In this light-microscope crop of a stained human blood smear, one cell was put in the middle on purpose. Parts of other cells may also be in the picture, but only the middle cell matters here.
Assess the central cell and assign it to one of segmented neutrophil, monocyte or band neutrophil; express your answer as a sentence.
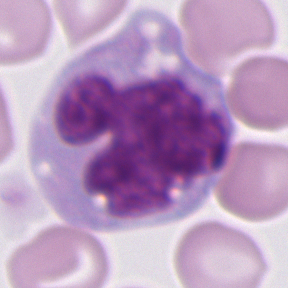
Classified as a monocyte is the cell in the middle of this crop.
